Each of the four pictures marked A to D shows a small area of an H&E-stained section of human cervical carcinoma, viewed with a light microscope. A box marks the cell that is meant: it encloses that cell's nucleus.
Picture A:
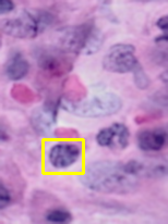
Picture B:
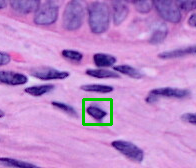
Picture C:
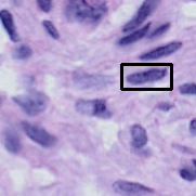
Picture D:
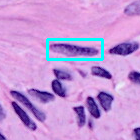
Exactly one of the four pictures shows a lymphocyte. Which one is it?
A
